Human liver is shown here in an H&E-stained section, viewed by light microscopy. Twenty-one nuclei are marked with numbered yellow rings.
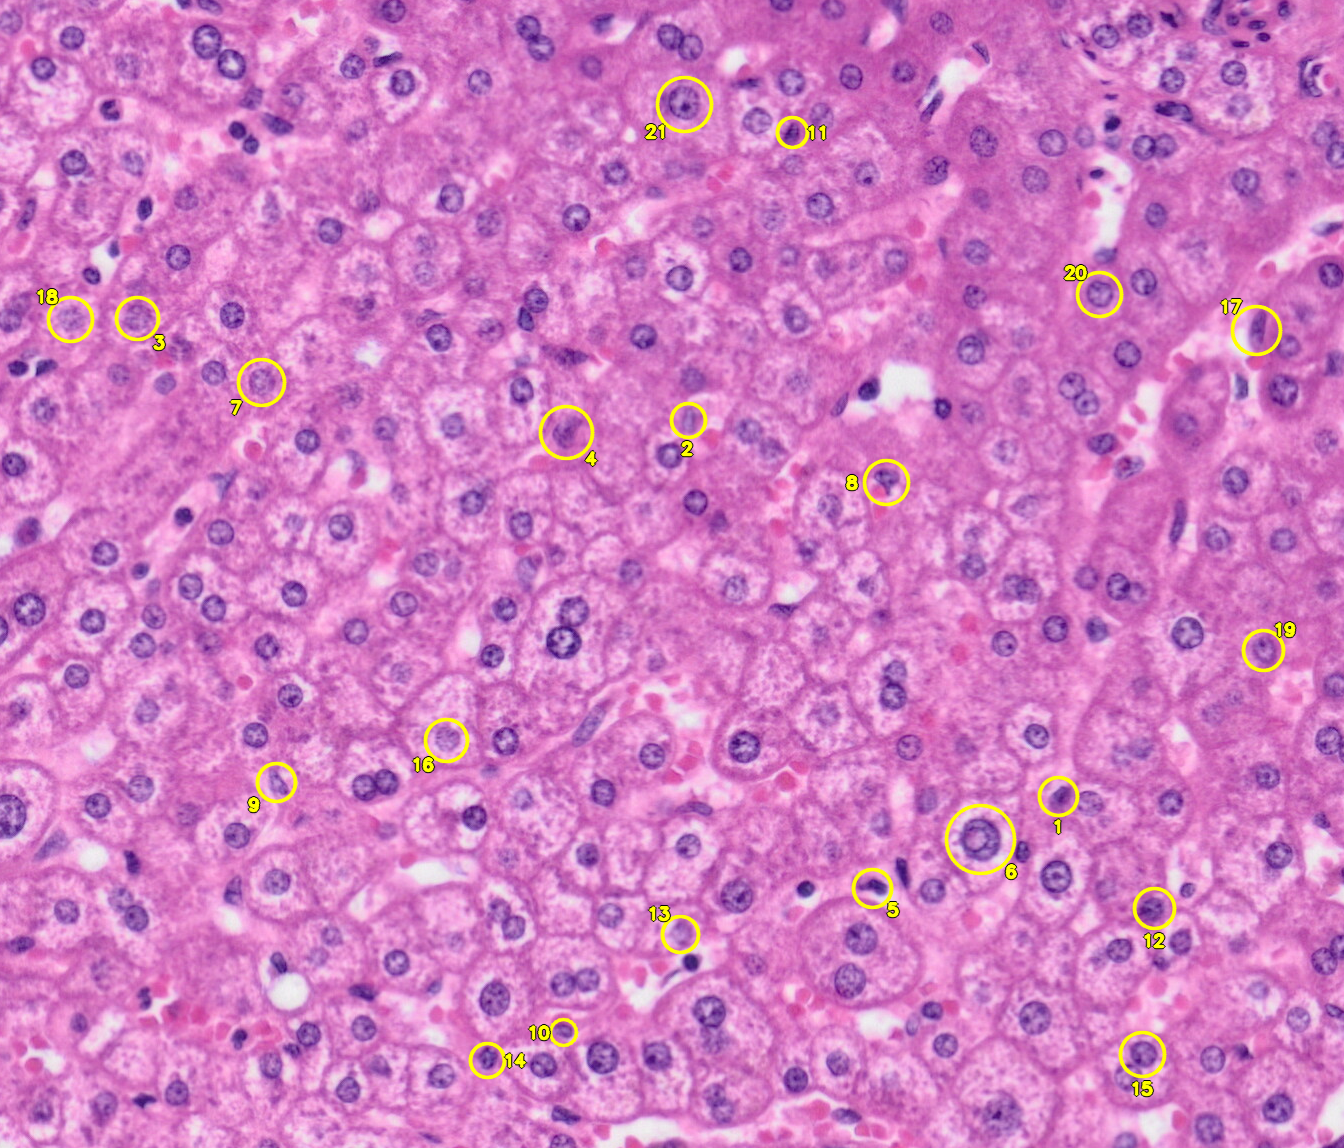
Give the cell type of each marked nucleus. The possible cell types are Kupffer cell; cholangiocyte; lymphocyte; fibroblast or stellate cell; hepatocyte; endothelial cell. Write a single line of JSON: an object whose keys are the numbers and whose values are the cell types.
{"1": "endothelial cell", "2": "Kupffer cell", "3": "hepatocyte", "4": "endothelial cell", "5": "lymphocyte", "6": "hepatocyte", "7": "hepatocyte", "8": "endothelial cell", "9": "Kupffer cell", "10": "Kupffer cell", "11": "fibroblast or stellate cell", "12": "hepatocyte", "13": "hepatocyte", "14": "fibroblast or stellate cell", "15": "hepatocyte", "16": "hepatocyte", "17": "Kupffer cell", "18": "hepatocyte", "19": "hepatocyte", "20": "hepatocyte", "21": "hepatocyte"}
